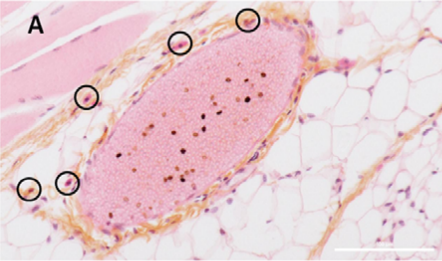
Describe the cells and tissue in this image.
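This section shows a large oval pink structure lying in loose connective and fatty tissue, with mast cells scattered in the tissue around it. The oval structure has a finely granular pink interior dotted with many small dark brown to black specks. It is wrapped by thin wavy orange-stained fibres containing a few elongated nuclei. Around it lie large empty-looking polygonal fat cells with thin walls and flattened peripheral nuclei. Small, intensely pink-purple cells sit singly in the orange fibrous rim and between the fat cells.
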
